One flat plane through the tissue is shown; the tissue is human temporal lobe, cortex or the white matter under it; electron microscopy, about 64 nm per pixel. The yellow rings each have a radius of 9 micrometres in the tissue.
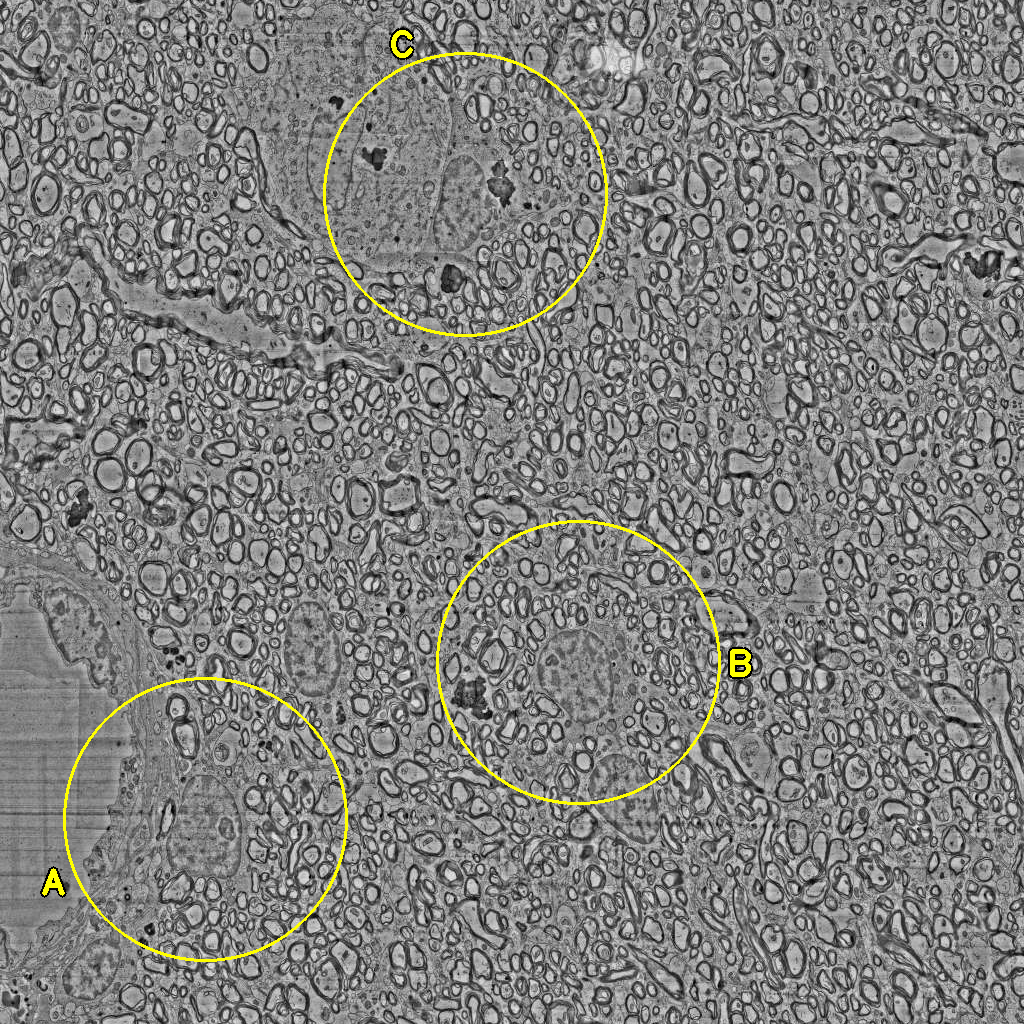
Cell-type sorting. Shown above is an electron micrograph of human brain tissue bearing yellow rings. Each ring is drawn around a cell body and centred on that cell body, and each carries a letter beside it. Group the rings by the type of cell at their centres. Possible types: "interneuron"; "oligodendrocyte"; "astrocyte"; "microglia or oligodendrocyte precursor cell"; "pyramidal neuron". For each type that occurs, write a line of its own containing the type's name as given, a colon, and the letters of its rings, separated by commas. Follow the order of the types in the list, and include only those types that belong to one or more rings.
oligodendrocyte: A, B, C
